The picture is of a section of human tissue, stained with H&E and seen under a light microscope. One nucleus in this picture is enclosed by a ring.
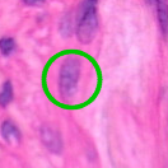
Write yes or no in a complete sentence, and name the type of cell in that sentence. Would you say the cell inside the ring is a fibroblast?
No, the cell inside the ring is recognized as a smooth muscle cell or pericyte rather than a fibroblast.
